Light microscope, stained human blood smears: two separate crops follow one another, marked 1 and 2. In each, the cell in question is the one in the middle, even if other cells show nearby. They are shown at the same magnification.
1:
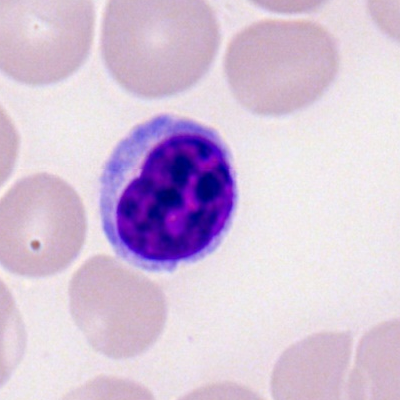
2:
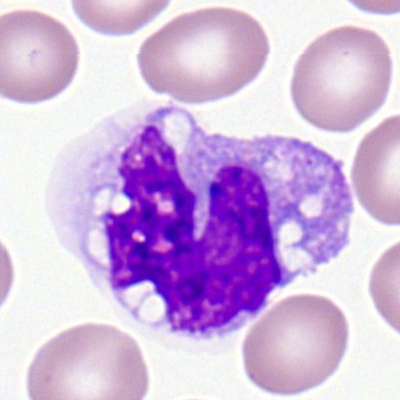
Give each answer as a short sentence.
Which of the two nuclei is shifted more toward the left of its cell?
It is the nucleus in crop 2 that lies further toward the left of its cell.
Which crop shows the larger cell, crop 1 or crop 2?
Crop 2 holds the larger cell; it covers about 2.5 times the area of the cell in crop 1.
